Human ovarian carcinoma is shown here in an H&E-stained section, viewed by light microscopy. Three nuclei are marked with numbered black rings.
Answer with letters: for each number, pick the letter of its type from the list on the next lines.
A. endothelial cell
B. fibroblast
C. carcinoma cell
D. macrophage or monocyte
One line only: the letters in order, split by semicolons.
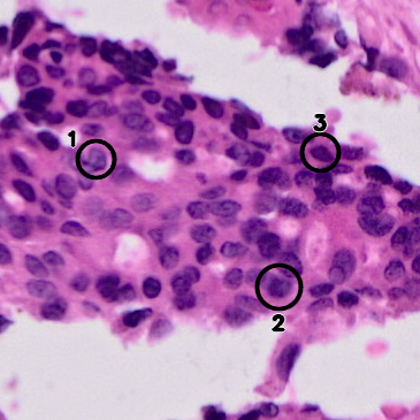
D; C; C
